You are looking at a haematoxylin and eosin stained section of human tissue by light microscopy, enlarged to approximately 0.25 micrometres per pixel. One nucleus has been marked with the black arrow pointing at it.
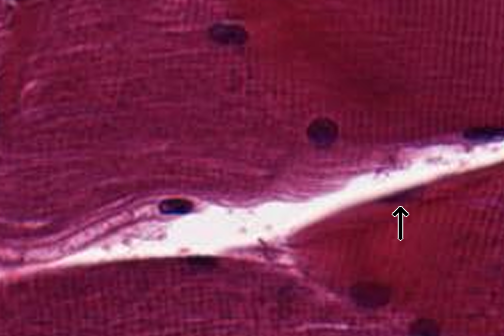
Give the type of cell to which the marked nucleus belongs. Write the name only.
skeletal muscle fibre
